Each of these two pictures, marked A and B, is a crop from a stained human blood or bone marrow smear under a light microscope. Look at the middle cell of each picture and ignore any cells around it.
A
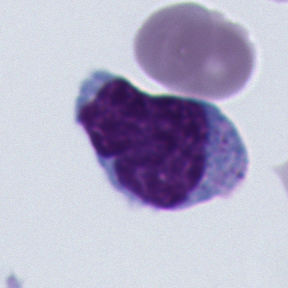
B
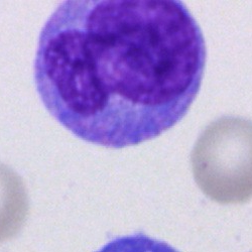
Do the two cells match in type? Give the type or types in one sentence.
Yes, both crops do show monocytes in the middle.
